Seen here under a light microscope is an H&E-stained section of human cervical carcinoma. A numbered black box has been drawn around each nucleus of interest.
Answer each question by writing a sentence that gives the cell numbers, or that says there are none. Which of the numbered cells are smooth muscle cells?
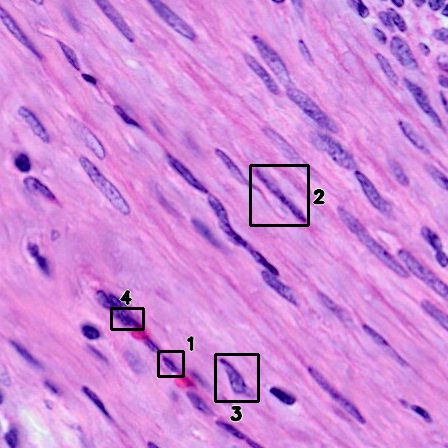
As for the numbered cells, only cell 2 is a smooth muscle cell.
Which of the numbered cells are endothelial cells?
The cells tagged 1 and 4 are endothelial cells in this tissue section.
